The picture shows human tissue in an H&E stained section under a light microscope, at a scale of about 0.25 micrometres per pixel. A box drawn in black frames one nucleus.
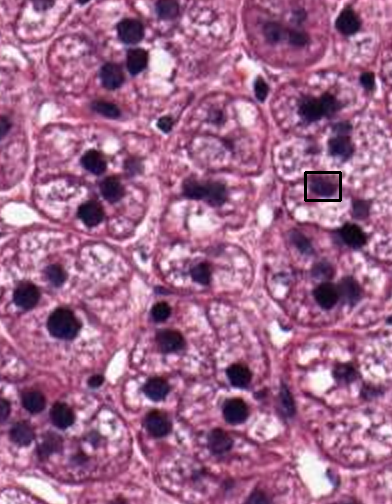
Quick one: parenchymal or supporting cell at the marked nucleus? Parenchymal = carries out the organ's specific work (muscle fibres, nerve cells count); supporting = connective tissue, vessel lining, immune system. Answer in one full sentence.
In this picture the marked nucleus belongs to an adrenal cortical cell, a parenchymal cell.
